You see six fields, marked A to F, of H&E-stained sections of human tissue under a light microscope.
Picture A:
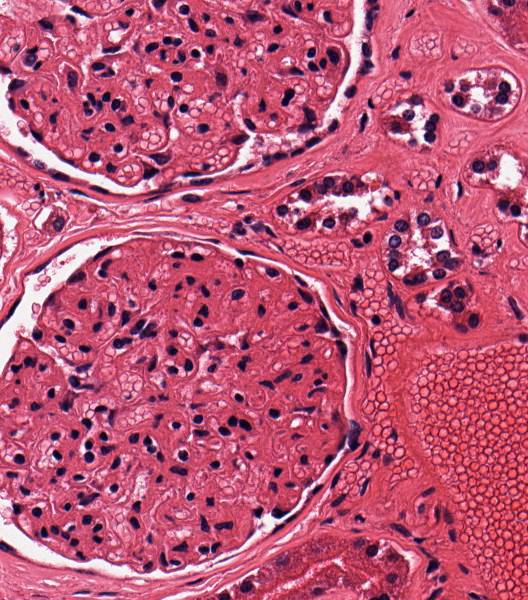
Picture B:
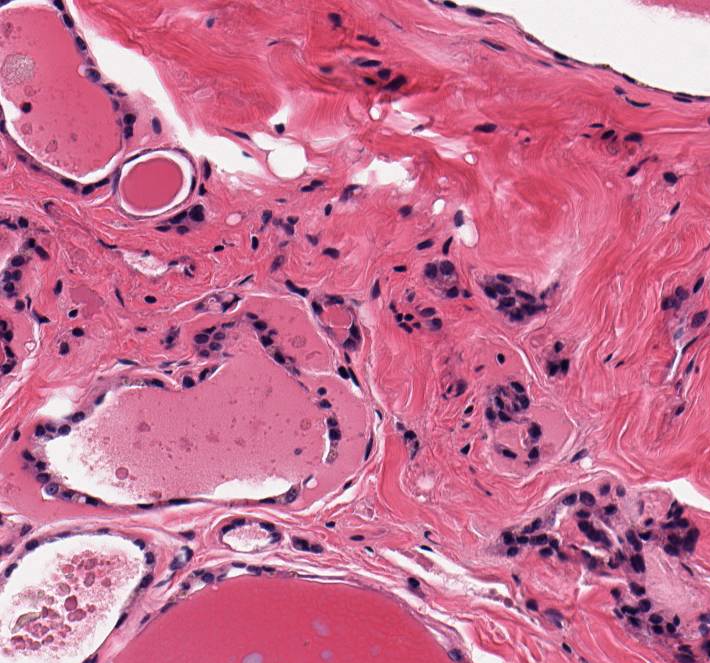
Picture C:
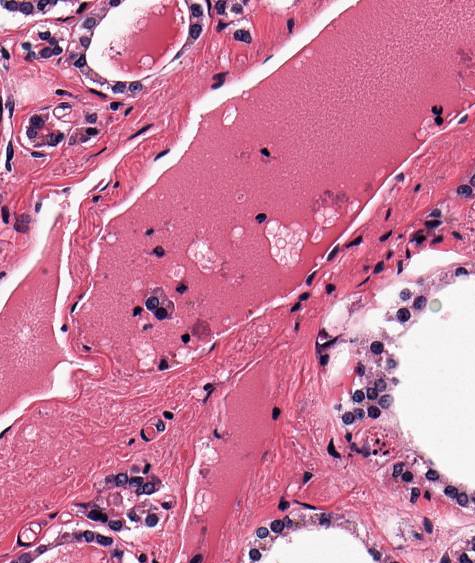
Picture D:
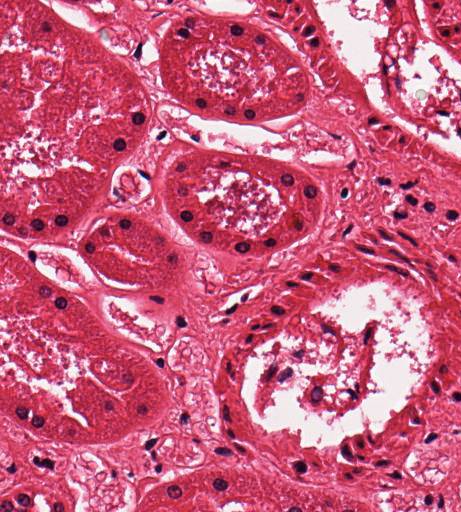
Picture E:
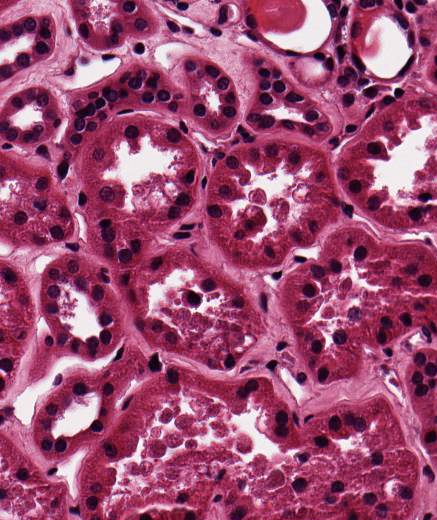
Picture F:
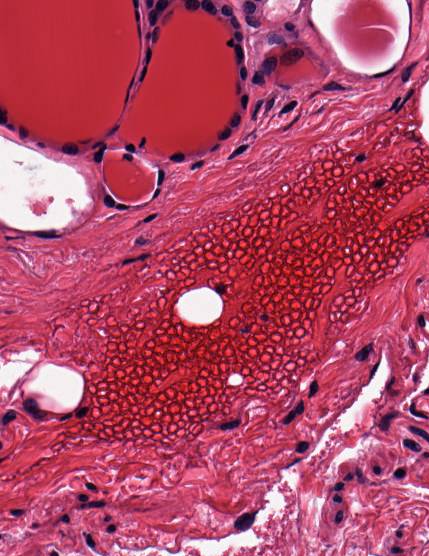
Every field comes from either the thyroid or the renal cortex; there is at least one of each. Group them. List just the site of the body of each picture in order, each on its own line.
renal cortex
thyroid
thyroid
renal cortex
renal cortex
thyroid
